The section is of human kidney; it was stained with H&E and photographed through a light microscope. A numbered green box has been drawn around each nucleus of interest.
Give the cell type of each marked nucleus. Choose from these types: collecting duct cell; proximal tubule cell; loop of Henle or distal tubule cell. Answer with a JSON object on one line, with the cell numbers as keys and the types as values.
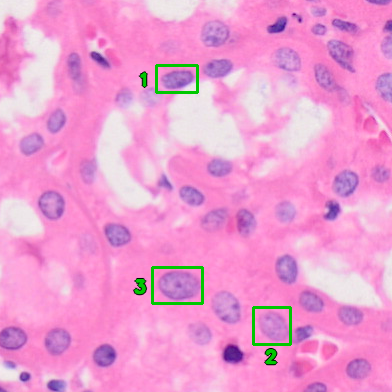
{"1": "loop of Henle or distal tubule cell", "2": "proximal tubule cell", "3": "proximal tubule cell"}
